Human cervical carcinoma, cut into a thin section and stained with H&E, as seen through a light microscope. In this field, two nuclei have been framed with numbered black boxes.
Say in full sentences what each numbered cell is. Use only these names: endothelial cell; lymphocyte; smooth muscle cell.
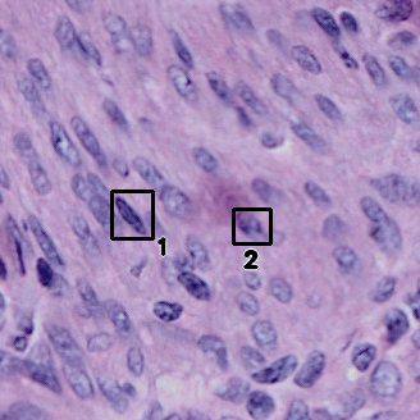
Cell 1 is a lymphocyte and cell 2 is a smooth muscle cell.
